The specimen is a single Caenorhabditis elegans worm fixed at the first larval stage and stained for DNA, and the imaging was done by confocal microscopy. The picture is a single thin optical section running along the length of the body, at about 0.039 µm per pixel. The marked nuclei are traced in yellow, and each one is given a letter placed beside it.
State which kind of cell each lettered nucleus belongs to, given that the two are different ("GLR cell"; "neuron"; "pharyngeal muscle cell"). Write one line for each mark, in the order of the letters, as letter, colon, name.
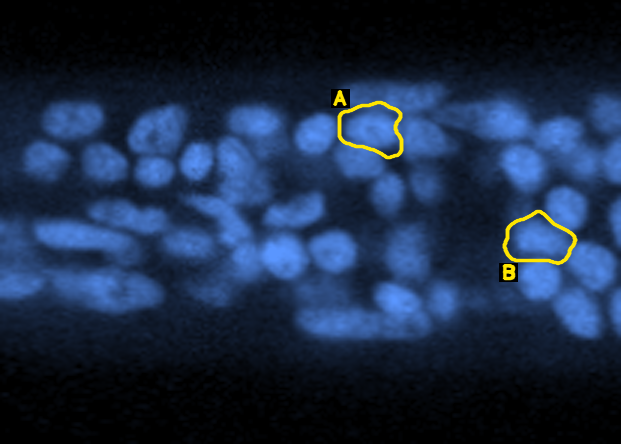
A: neuron
B: GLR cell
